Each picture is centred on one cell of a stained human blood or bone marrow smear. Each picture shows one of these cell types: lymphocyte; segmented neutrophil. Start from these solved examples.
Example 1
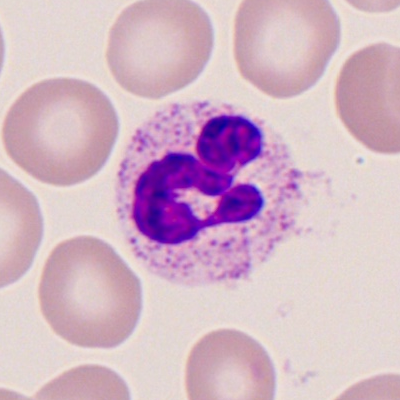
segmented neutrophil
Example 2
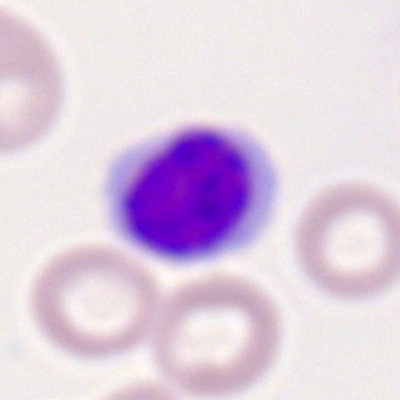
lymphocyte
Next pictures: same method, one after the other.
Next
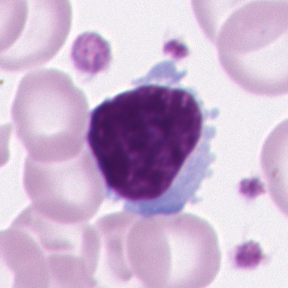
lymphocyte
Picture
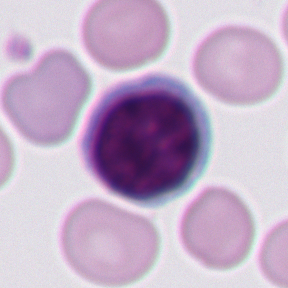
lymphocyte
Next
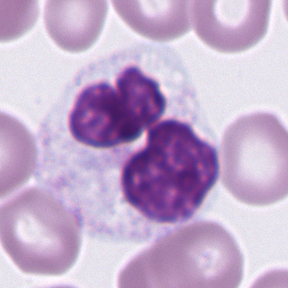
segmented neutrophil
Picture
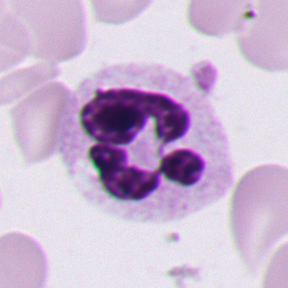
segmented neutrophil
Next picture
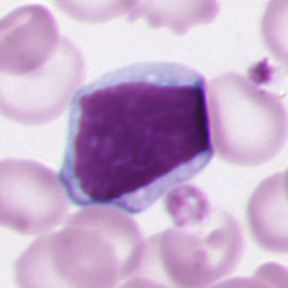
lymphocyte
